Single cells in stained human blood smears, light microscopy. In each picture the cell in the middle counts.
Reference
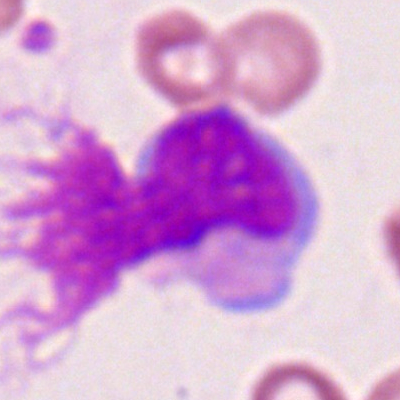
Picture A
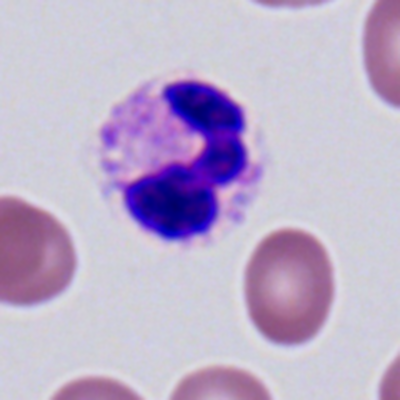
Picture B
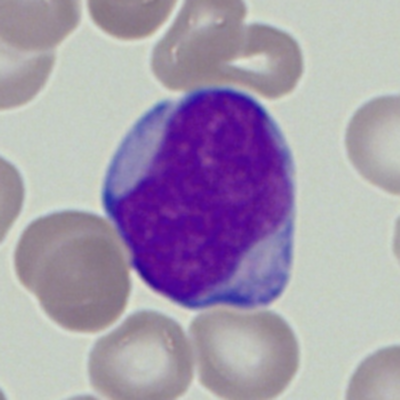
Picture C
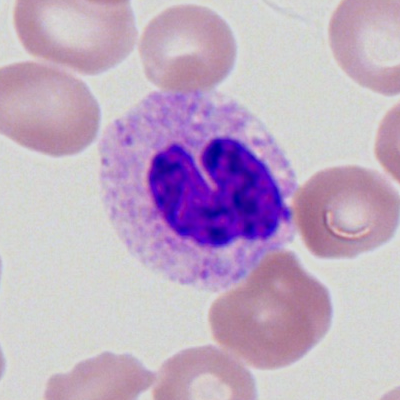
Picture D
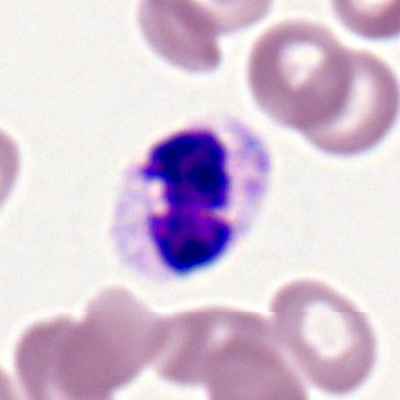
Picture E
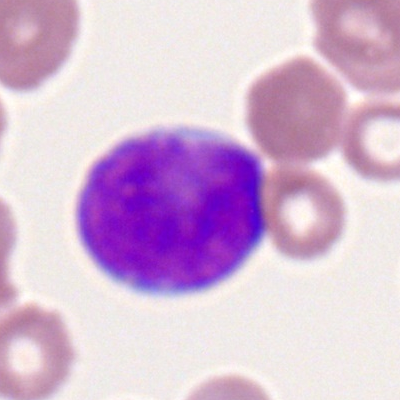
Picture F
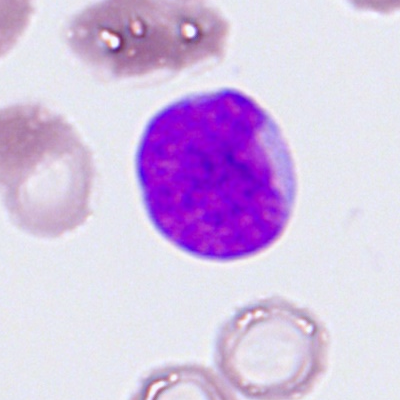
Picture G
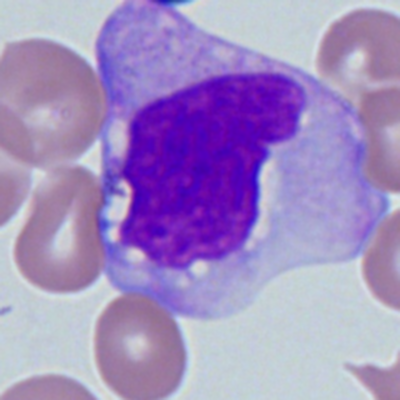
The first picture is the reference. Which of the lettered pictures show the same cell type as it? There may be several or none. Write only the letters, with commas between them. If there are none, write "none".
G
